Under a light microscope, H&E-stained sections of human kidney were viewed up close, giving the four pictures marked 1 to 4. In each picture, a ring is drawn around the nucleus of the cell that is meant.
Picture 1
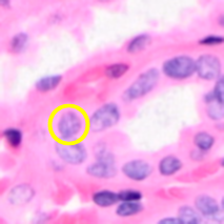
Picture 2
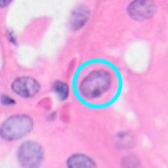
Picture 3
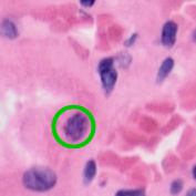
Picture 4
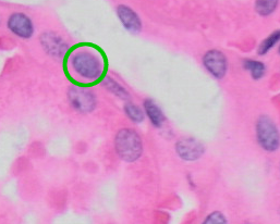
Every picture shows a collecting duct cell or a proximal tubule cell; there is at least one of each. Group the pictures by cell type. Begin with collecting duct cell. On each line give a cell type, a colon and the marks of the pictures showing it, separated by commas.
collecting duct cell: 1, 4
proximal tubule cell: 2, 3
